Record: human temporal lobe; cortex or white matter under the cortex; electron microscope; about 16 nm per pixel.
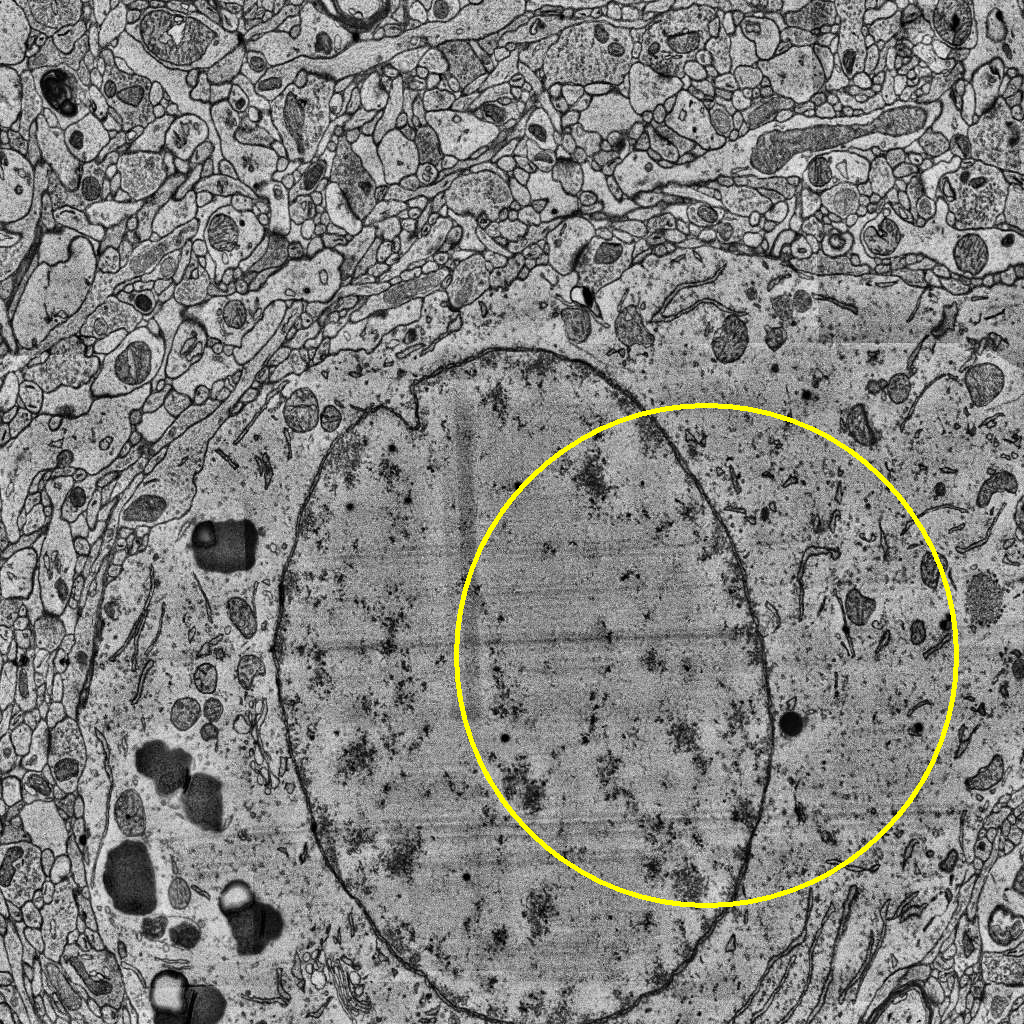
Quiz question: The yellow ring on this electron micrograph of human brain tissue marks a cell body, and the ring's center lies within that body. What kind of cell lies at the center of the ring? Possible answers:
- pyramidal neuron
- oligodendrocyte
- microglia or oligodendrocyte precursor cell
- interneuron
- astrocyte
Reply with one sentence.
The ring's center lies on a pyramidal neuron.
